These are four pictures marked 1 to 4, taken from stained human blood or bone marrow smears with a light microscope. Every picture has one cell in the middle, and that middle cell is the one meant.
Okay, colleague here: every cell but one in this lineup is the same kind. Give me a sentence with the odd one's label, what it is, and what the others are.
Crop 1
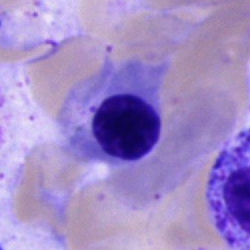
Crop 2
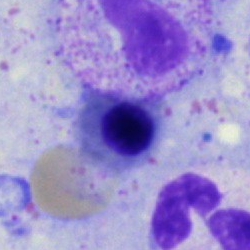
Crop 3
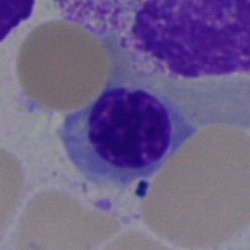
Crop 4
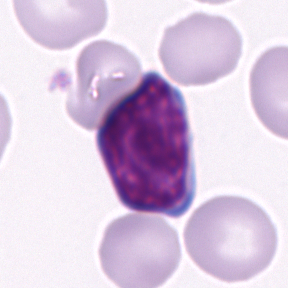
Crop 4 is the one that is a lymphocyte, and the other crops all show erythroblasts.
